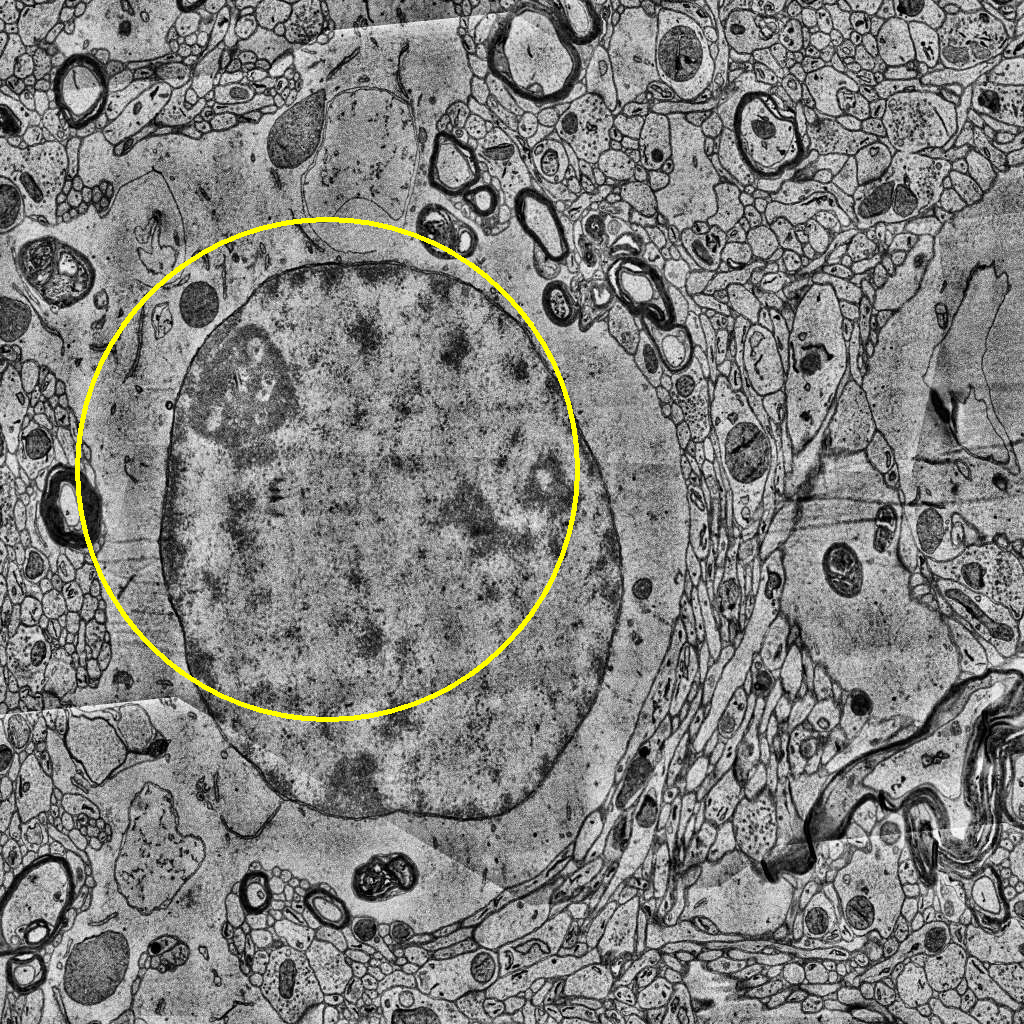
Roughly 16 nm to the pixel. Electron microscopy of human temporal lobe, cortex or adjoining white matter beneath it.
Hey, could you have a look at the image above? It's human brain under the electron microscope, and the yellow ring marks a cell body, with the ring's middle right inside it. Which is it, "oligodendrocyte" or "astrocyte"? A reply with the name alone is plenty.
astrocyte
